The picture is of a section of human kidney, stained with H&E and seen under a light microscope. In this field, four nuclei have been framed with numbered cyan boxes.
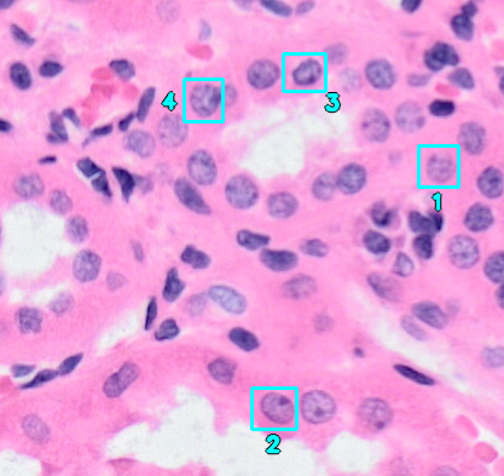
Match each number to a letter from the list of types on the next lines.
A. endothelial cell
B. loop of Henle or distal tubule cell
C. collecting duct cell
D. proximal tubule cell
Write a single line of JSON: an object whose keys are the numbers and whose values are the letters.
{"1": "B", "2": "D", "3": "B", "4": "B"}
